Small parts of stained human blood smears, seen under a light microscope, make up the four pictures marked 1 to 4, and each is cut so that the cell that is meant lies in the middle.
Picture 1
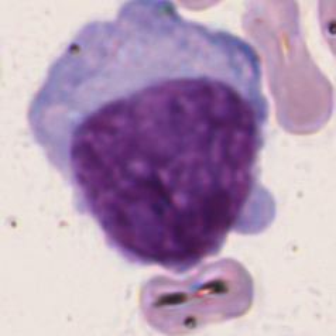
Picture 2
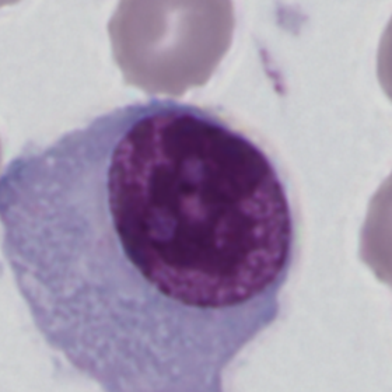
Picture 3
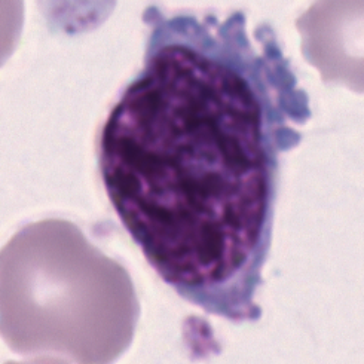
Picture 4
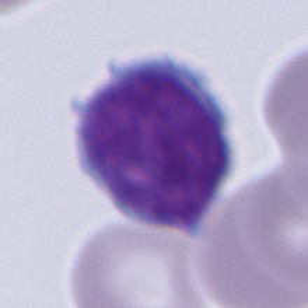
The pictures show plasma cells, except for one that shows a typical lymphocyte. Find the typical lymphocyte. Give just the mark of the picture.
4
